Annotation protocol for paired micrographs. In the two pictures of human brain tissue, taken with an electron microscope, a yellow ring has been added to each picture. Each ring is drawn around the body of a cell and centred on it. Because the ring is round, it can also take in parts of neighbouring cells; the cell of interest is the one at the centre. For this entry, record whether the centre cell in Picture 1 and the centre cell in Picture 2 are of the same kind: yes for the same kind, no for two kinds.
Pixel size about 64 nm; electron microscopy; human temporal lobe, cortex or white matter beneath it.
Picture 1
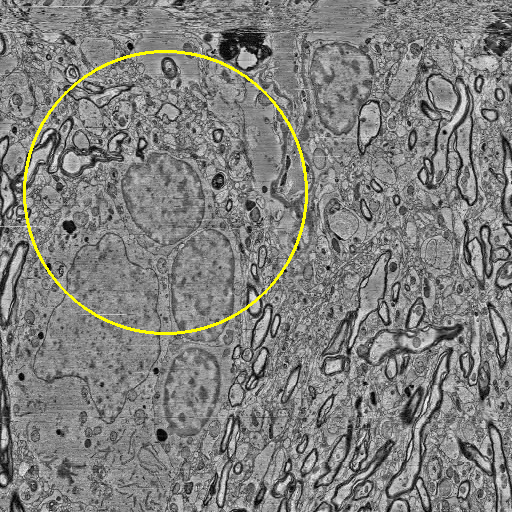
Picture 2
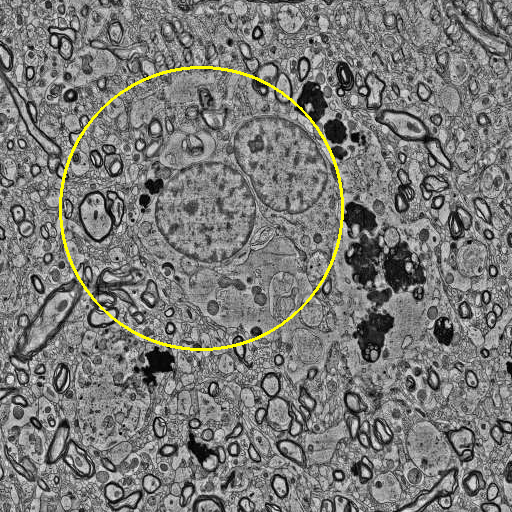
yes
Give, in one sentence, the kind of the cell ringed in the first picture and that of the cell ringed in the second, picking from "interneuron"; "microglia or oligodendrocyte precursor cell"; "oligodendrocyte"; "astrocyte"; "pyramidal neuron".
Each cell, in the first picture and the second, is an oligodendrocyte.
